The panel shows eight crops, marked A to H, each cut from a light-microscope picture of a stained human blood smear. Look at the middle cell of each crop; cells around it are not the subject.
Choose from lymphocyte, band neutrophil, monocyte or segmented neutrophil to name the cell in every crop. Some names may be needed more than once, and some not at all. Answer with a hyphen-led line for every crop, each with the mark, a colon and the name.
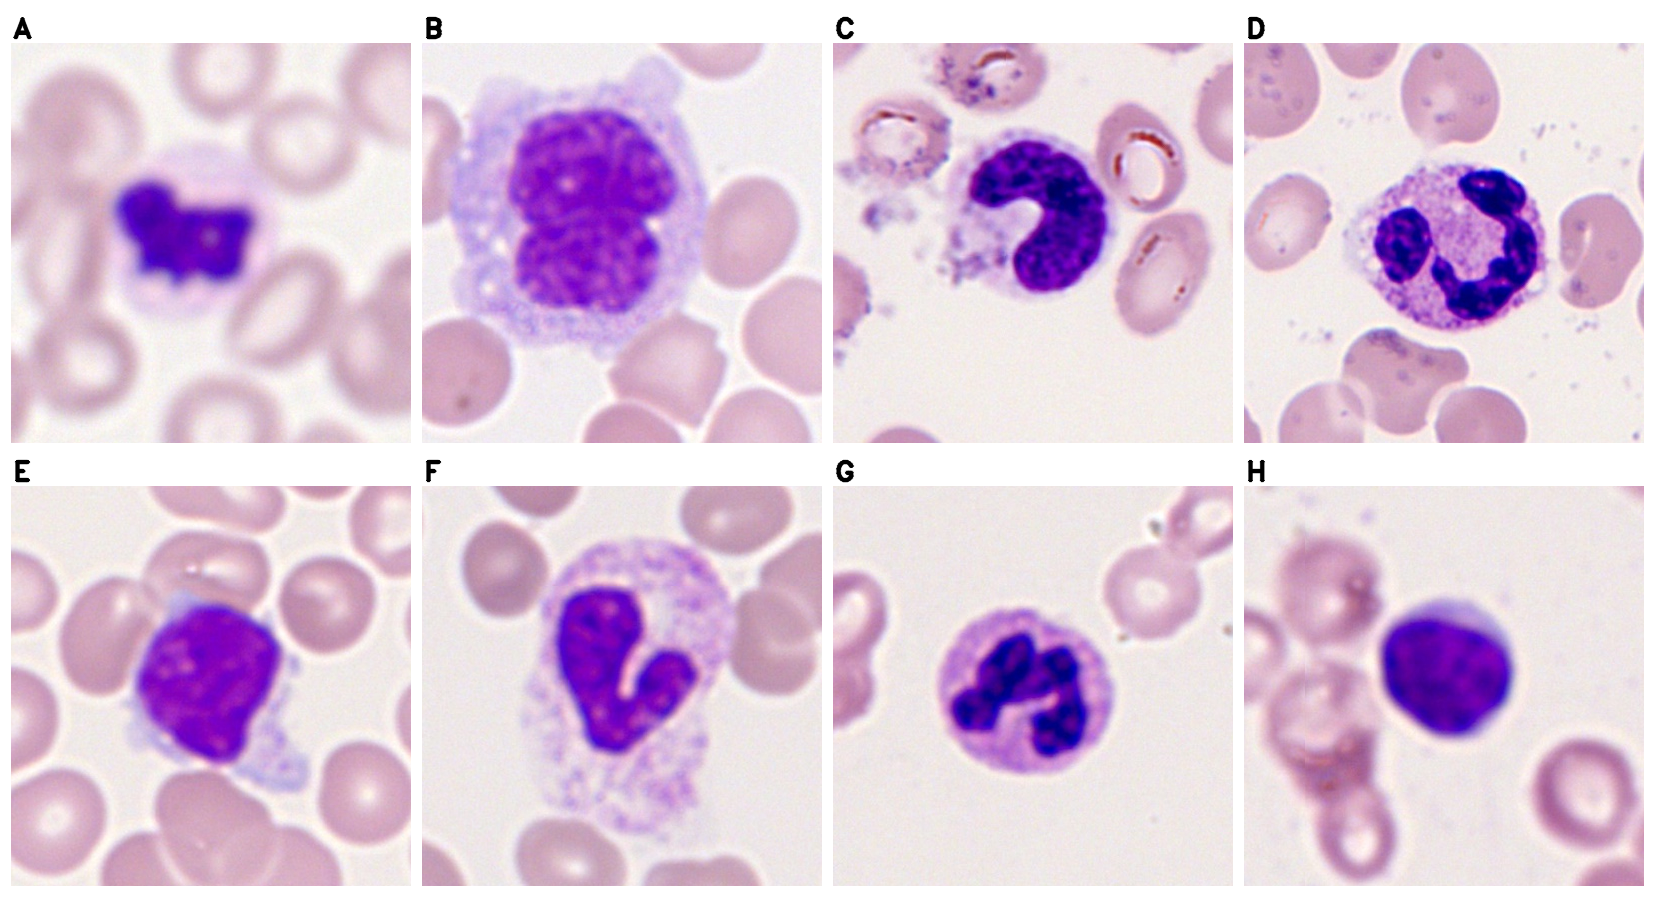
- A: segmented neutrophil
- B: monocyte
- C: band neutrophil
- D: segmented neutrophil
- E: lymphocyte
- F: band neutrophil
- G: segmented neutrophil
- H: lymphocyte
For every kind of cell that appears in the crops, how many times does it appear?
segmented neutrophil: 3
band neutrophil: 2
lymphocyte: 2
monocyte: 1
